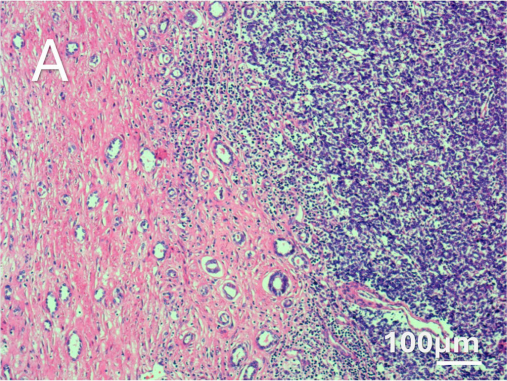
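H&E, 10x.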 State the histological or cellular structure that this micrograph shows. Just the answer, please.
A: Renal tubules.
